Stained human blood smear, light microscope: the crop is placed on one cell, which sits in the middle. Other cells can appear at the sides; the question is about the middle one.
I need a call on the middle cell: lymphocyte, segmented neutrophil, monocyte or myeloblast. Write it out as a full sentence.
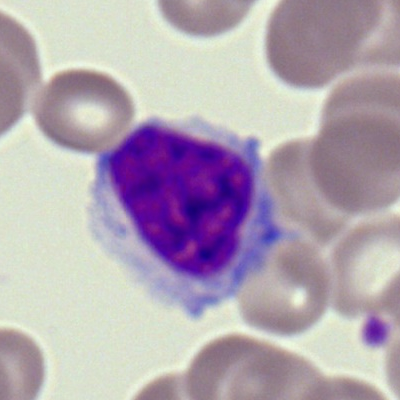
The cell in the exact centre of the crop is a lymphocyte.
